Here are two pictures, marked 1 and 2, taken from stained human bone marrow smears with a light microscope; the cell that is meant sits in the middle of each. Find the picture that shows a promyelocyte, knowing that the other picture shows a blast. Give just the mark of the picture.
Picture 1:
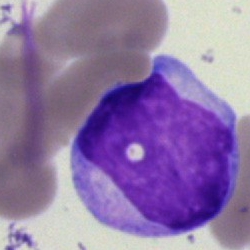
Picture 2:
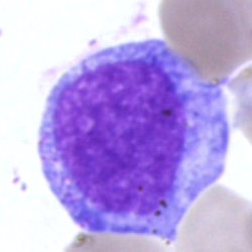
2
